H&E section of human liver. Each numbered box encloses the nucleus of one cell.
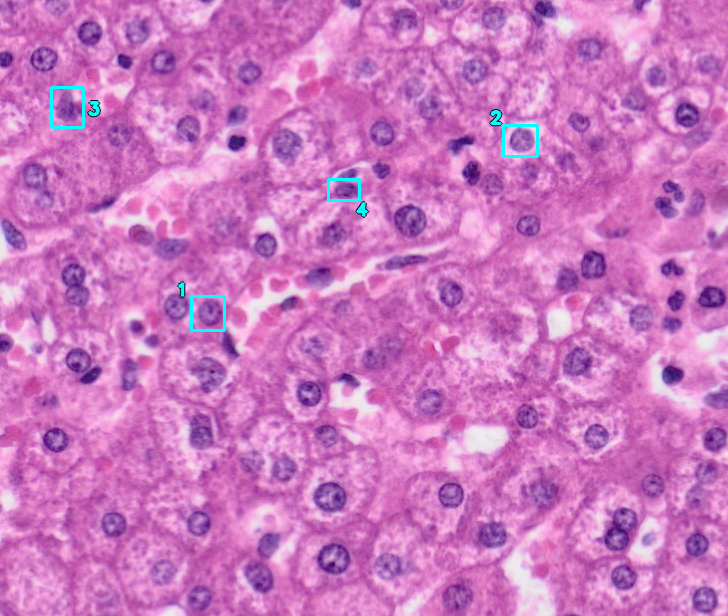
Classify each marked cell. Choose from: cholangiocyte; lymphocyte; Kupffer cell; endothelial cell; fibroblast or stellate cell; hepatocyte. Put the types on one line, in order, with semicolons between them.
hepatocyte; hepatocyte; endothelial cell; Kupffer cell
